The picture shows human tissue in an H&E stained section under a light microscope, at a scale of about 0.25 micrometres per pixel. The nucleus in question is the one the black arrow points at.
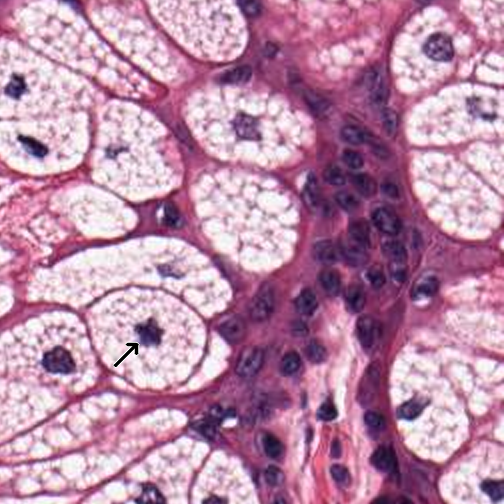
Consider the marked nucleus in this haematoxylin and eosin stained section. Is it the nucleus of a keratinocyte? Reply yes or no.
no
